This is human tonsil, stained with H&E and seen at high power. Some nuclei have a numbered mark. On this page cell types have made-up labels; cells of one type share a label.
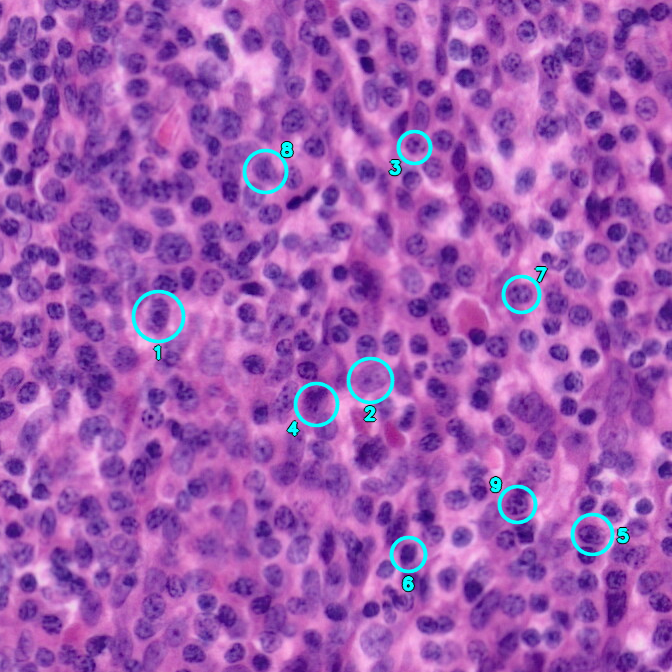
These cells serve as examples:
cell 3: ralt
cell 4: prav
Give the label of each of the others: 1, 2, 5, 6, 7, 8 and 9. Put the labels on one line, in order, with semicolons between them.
prav; prav; ralt; prav; ralt; prav; ralt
